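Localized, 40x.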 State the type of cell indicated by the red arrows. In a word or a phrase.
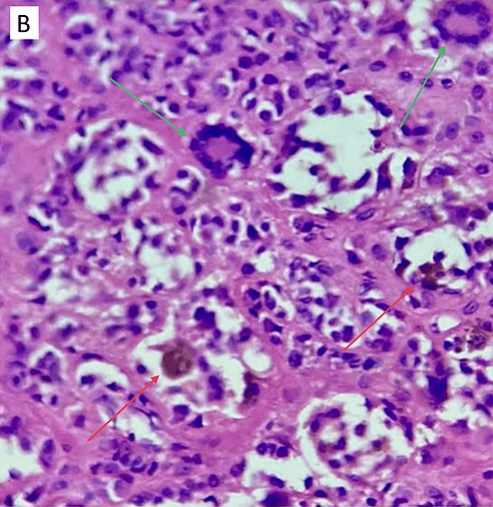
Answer: macrophages with hemosiderin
